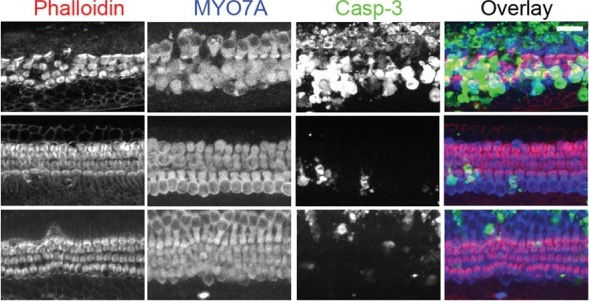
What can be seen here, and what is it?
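A strip of sensory epithelium from the cochlea, seen from above, with hair cells arranged in parallel rows: a single row of inner hair cells and three rows of outer hair cells, outlined by red cell borders and filled with blue. In the lower two rows of images the rows are regular and tightly packed, with only a few bright green cells.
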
